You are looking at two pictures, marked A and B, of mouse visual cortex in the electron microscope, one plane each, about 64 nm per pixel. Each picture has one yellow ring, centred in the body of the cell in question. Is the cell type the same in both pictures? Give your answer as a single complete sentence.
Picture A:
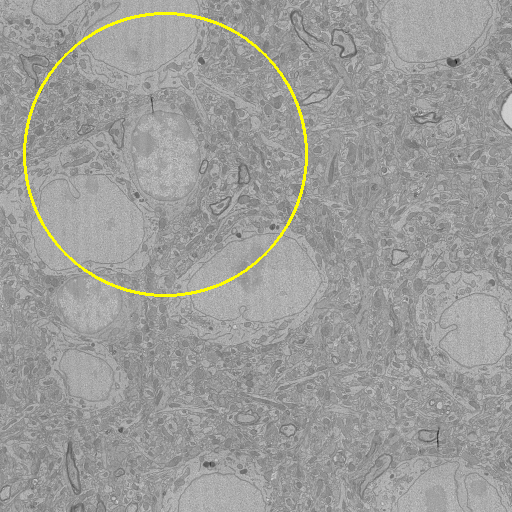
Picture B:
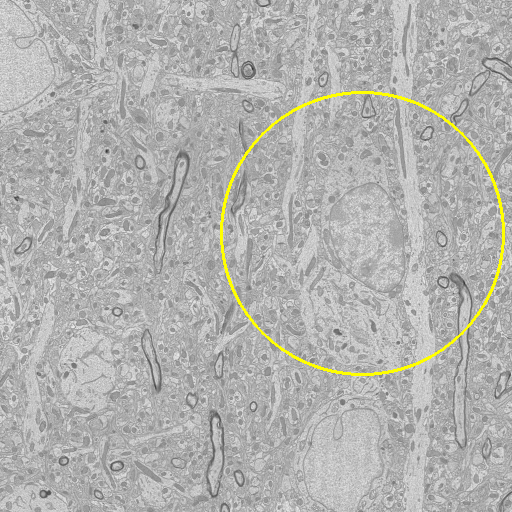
Yes, both cells are oligodendrocytes.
